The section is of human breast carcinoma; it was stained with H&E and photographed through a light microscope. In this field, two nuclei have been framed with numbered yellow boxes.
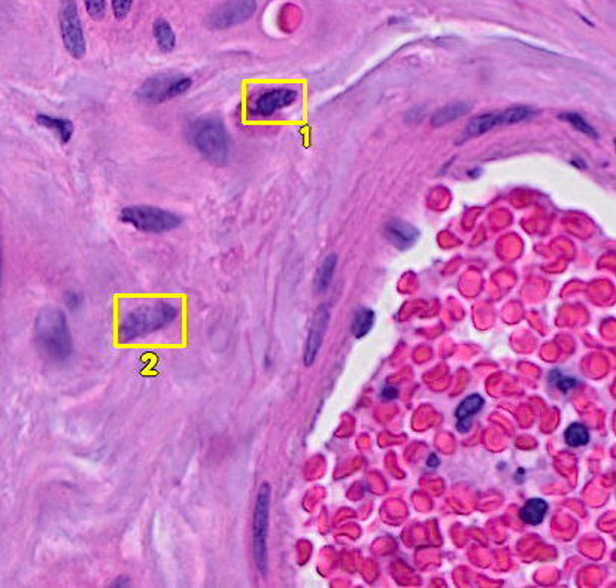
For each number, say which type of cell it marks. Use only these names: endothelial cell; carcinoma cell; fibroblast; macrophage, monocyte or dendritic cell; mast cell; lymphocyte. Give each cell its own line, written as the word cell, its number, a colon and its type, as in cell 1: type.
cell 1: mast cell
cell 2: fibroblast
